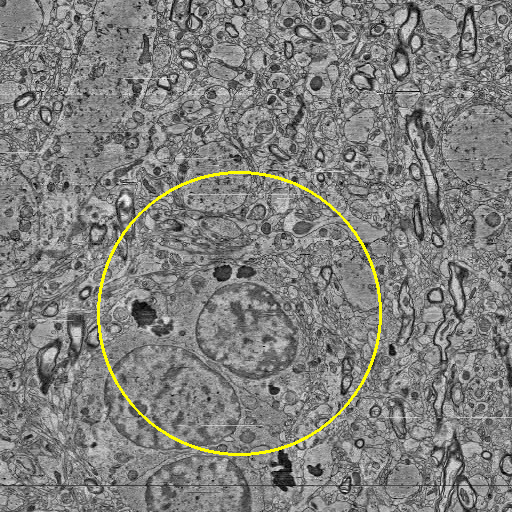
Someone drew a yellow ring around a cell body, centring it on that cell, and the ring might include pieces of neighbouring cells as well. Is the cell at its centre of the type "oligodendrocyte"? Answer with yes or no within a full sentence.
Yes, within the picture, the cell the ring is centred on qualifies as that type.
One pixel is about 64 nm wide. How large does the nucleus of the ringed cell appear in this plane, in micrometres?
About 7 by 6 micrometers, in this plane.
